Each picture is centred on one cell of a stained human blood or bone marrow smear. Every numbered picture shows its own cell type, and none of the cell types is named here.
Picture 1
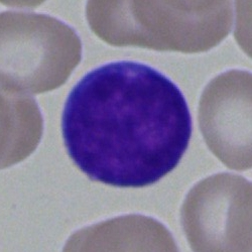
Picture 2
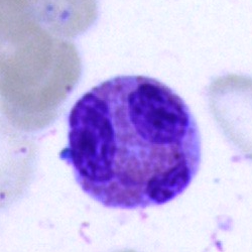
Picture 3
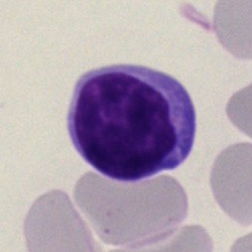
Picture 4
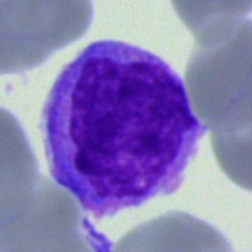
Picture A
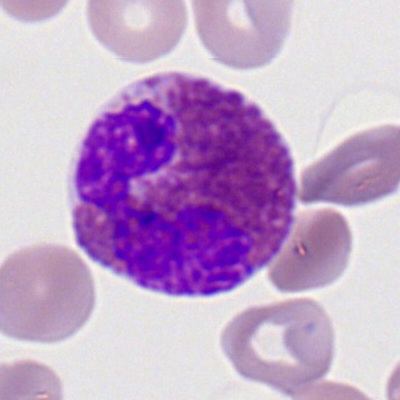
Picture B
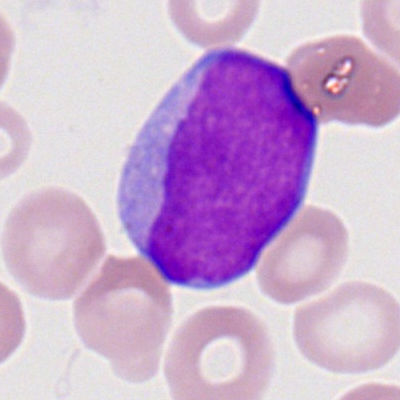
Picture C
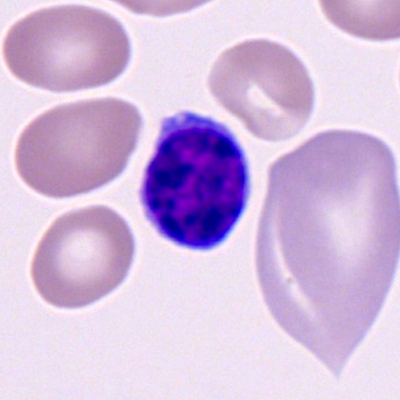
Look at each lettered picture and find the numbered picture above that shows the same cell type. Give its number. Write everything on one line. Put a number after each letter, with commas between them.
A 2, B 1, C 3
